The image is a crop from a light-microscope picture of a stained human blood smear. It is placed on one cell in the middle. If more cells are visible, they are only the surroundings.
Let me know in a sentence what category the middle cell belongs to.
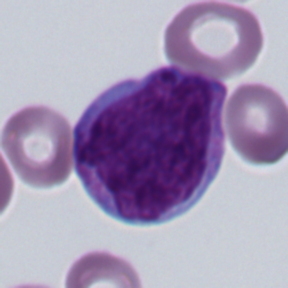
The center cell of this crop is an atypical promyelocyte.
